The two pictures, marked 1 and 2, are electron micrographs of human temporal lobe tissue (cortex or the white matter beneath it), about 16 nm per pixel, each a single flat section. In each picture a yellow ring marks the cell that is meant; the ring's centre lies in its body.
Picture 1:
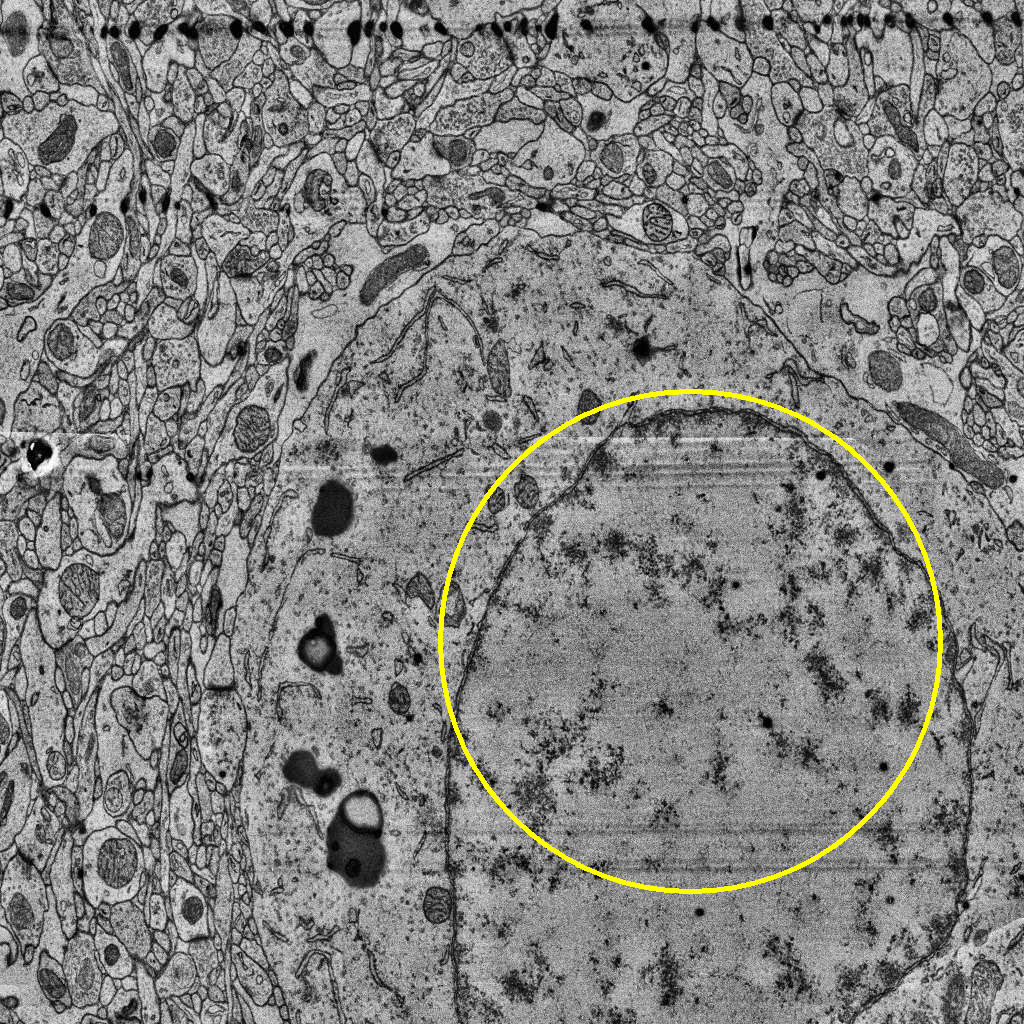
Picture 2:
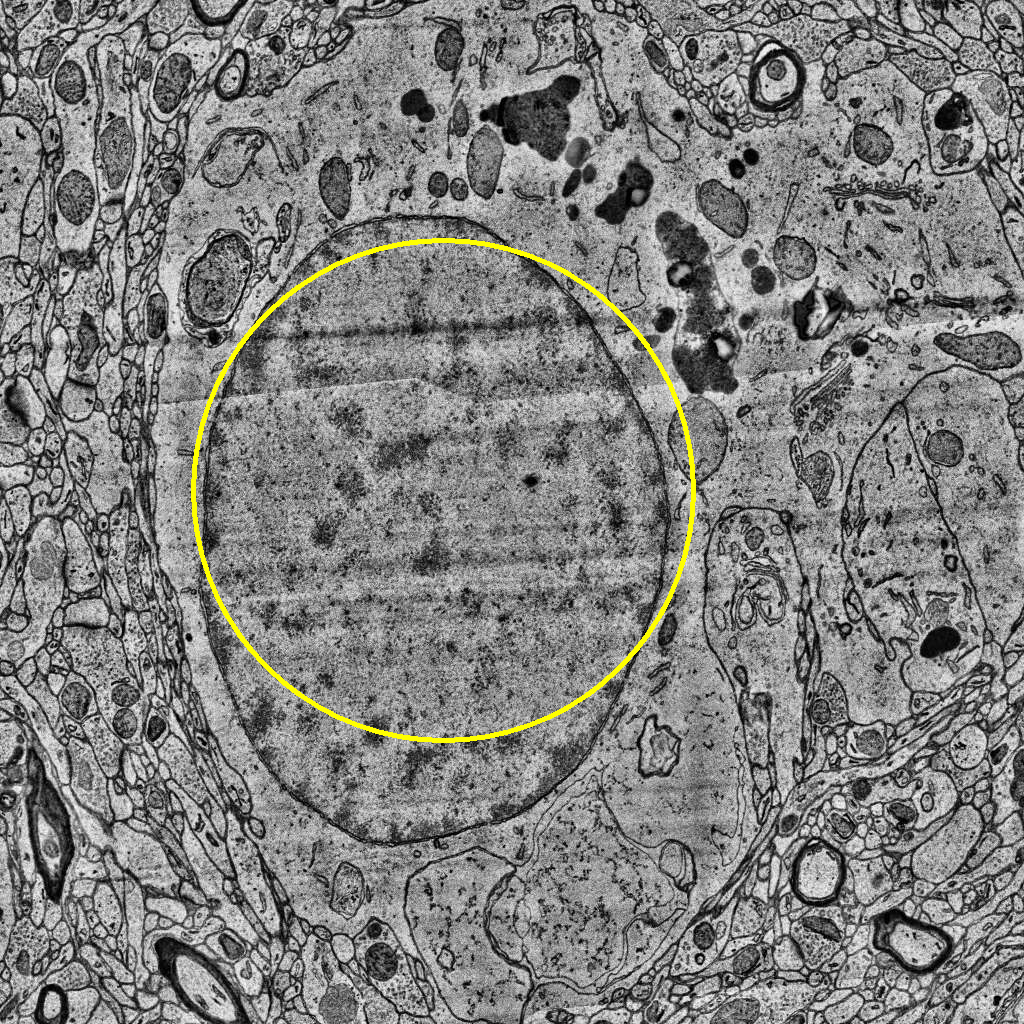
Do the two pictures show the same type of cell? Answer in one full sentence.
No, picture 1 shows a pyramidal neuron and picture 2 shows an astrocyte.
